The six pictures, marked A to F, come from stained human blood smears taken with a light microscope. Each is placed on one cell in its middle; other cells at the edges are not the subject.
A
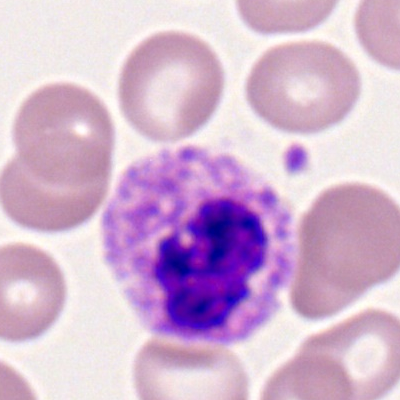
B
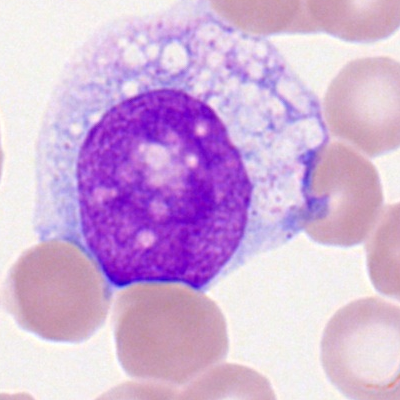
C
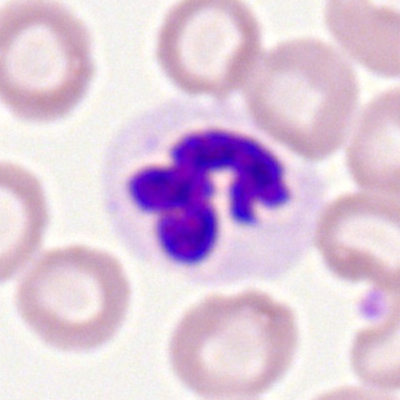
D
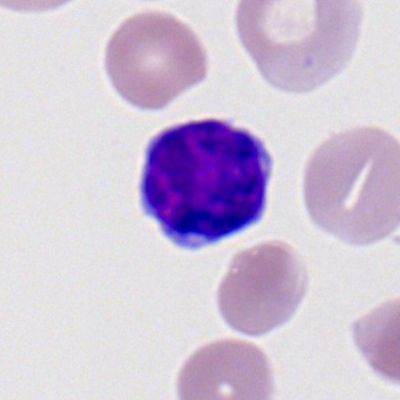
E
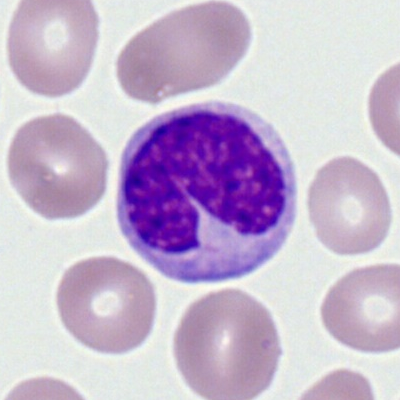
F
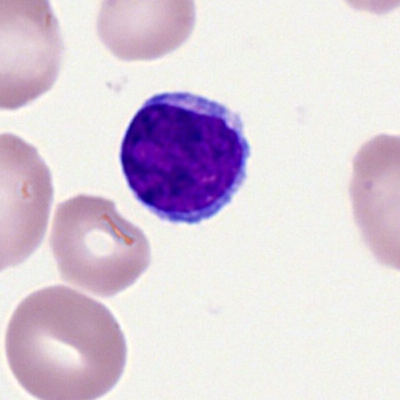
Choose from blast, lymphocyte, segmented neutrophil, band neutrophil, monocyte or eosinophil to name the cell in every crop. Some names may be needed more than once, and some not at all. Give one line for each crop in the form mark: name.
A: segmented neutrophil
B: monocyte
C: segmented neutrophil
D: lymphocyte
E: monocyte
F: lymphocyte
